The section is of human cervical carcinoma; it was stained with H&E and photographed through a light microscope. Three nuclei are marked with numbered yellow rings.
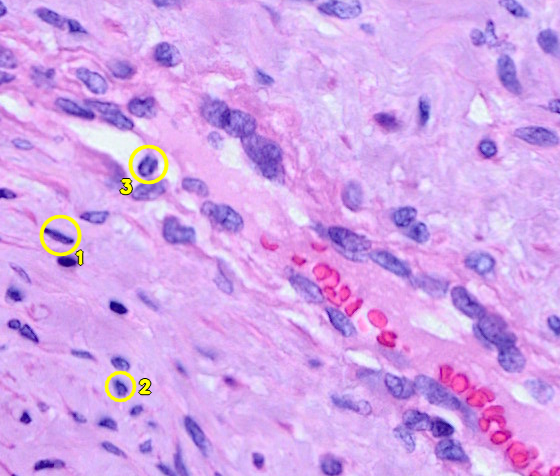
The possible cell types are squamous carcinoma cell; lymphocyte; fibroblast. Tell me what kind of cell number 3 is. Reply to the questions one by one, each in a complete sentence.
The cell referred to as 3 is a lymphocyte.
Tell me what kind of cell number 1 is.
The cell identified by number 1 is a fibroblast.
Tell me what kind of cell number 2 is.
Of the numbered cells, the one labelled 2 is a fibroblast.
